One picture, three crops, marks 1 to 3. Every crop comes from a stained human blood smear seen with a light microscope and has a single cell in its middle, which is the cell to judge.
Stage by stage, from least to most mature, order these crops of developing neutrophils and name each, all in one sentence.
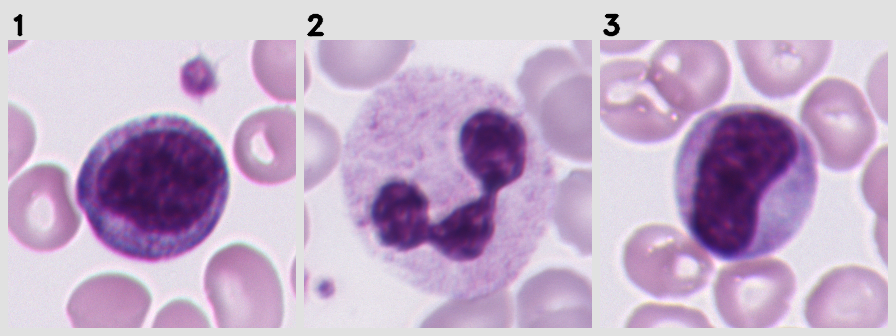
The order of increasing maturity among the crops is crop 1 (a myelocyte), crop 3 (a metamyelocyte) and crop 2 (a segmented neutrophil).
